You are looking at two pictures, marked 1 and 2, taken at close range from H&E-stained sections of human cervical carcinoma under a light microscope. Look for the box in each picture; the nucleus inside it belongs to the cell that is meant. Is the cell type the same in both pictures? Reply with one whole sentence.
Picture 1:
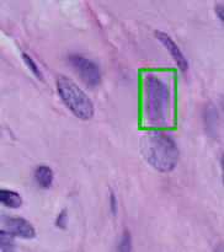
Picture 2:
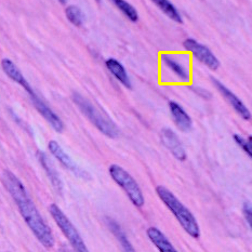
Yes, they are the same type: both are fibroblasts.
